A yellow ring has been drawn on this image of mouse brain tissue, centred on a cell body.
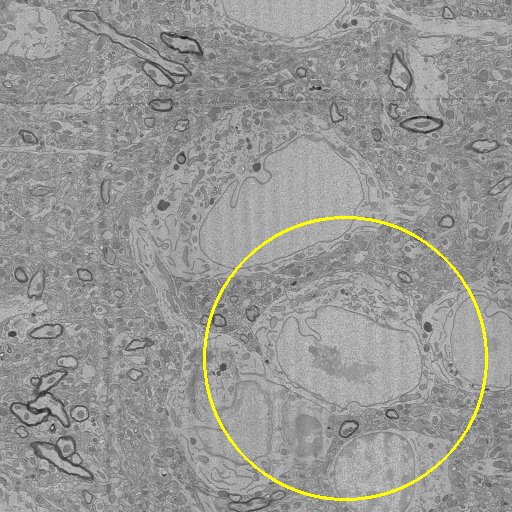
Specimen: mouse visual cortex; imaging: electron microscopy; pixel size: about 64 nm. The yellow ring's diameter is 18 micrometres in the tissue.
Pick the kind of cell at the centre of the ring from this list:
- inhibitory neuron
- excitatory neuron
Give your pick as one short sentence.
The centre of the ring holds an inhibitory neuron.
